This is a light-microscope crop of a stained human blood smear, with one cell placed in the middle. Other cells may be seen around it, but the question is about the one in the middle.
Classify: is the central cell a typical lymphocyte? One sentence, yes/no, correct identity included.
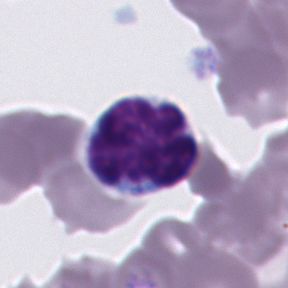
Yes, that is right: the middle cell is a typical lymphocyte.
